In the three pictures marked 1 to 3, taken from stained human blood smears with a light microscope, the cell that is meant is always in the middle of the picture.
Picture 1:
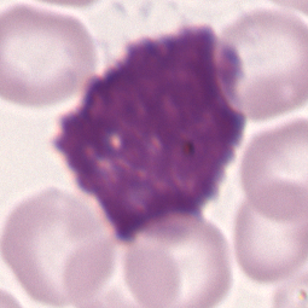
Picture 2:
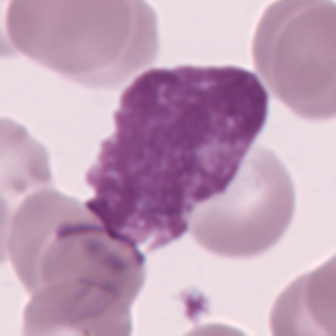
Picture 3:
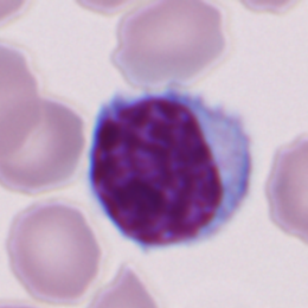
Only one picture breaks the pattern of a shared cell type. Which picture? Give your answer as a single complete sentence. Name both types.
The others show smudge cells, but picture 3 shows a typical lymphocyte.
